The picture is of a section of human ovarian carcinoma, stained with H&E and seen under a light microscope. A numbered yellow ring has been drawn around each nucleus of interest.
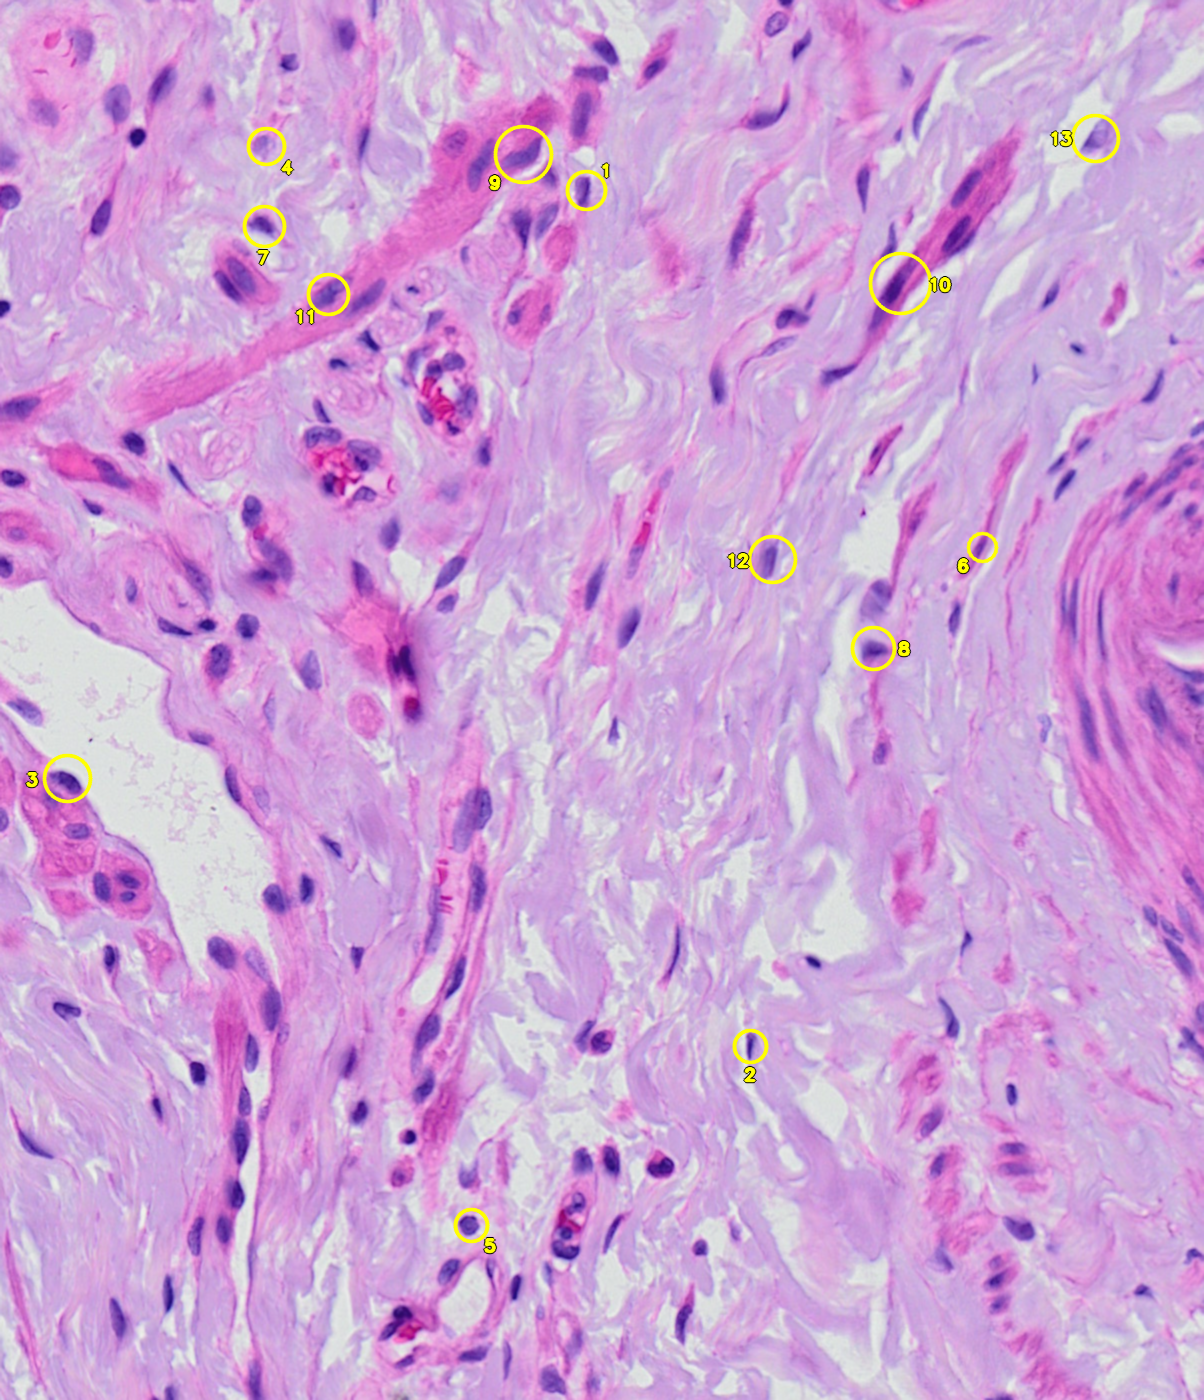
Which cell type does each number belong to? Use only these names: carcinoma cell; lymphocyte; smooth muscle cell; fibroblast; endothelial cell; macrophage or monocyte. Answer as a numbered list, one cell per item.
1. fibroblast
2. fibroblast
3. endothelial cell
4. fibroblast
5. lymphocyte
6. smooth muscle cell
7. fibroblast
8. fibroblast
9. smooth muscle cell
10. smooth muscle cell
11. smooth muscle cell
12. fibroblast
13. fibroblast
